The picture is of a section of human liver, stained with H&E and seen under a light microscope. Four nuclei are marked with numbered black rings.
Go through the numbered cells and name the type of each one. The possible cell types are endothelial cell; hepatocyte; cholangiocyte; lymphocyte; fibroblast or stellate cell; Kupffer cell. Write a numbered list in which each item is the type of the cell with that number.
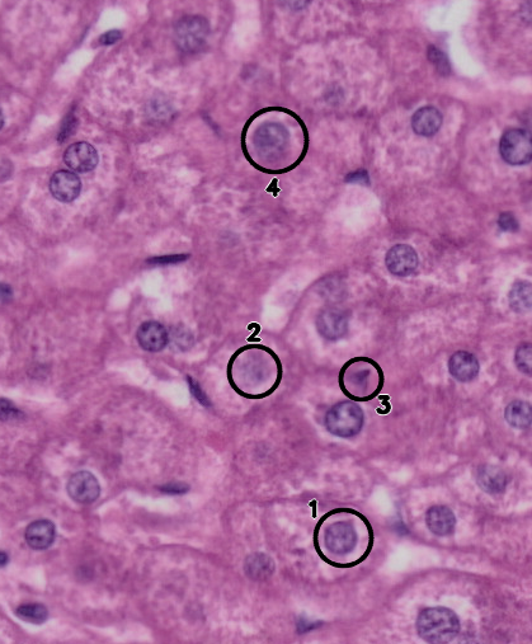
1. hepatocyte
2. hepatocyte
3. endothelial cell
4. hepatocyte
